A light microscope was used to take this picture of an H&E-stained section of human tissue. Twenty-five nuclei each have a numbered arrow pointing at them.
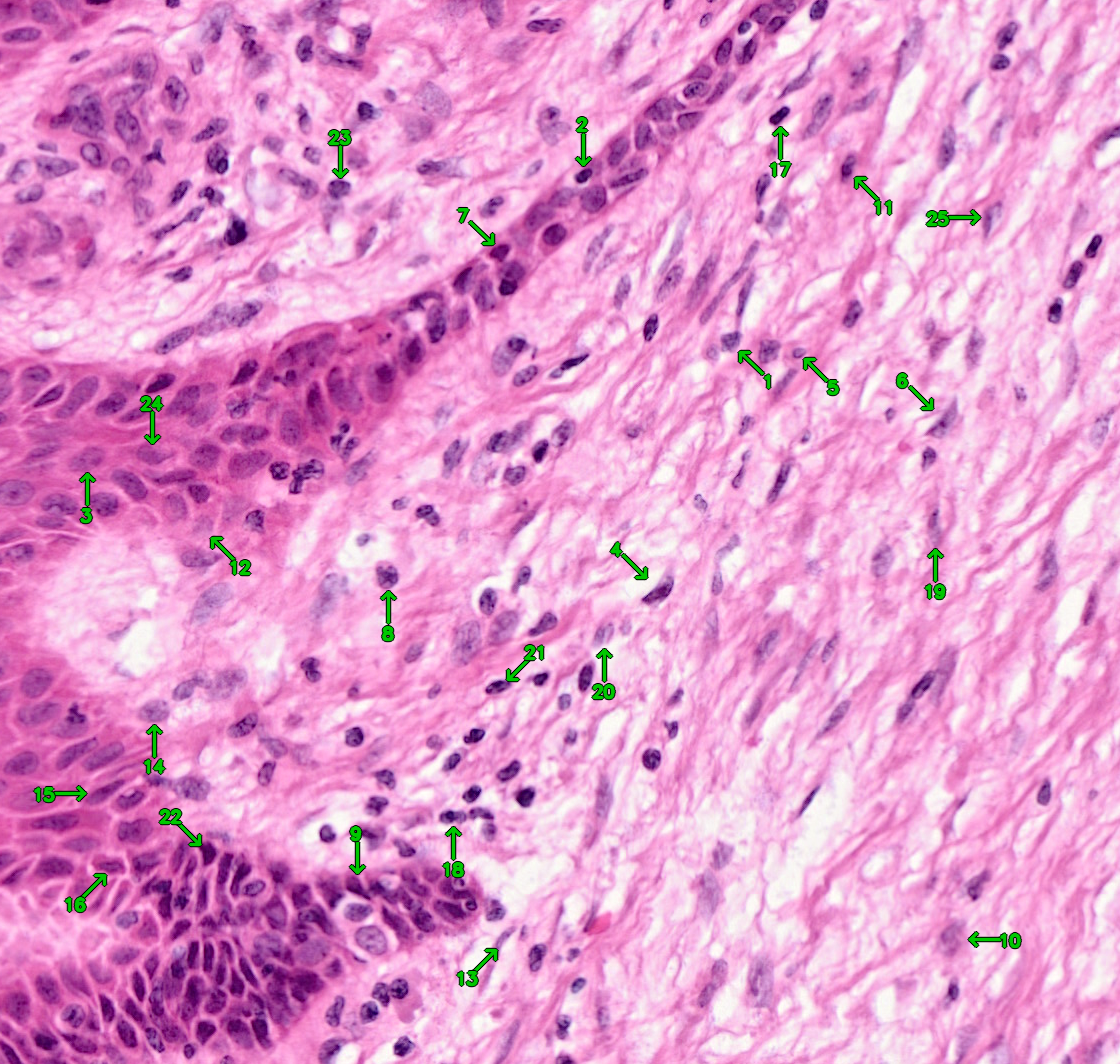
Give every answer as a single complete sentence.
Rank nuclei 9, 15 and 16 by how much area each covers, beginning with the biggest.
From largest to smallest, the order is 15, 9, 16.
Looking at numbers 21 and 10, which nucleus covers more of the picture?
At about 2 times the area of nucleus 21, nucleus 10 is the larger of the two.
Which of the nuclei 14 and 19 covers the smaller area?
Nucleus 19 covers less area, with nucleus 14 about 2 times as large.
